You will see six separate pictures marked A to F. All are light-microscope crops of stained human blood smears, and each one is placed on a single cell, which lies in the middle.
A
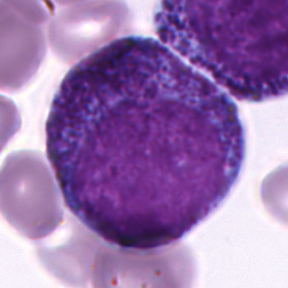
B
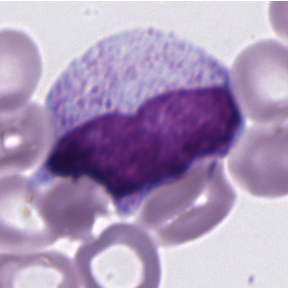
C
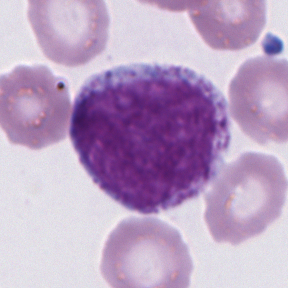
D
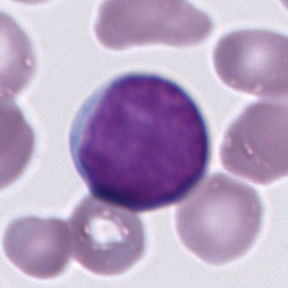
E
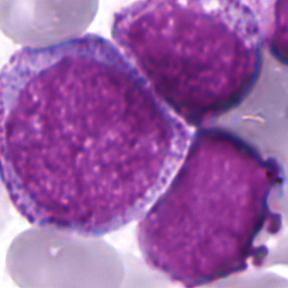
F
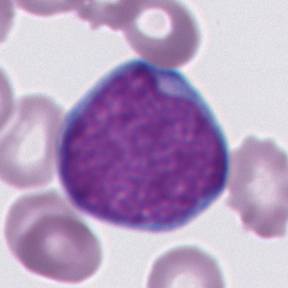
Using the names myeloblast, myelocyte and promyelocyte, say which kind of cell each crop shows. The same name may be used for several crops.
A: promyelocyte
B: myelocyte
C: myelocyte
D: myeloblast
E: promyelocyte
F: myeloblast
